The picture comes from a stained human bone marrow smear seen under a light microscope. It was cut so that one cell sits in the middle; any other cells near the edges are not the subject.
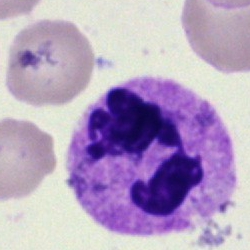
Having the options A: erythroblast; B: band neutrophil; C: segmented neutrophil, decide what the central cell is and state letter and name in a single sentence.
The correct response is option C, naming the cell in the middle as a segmented neutrophil.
